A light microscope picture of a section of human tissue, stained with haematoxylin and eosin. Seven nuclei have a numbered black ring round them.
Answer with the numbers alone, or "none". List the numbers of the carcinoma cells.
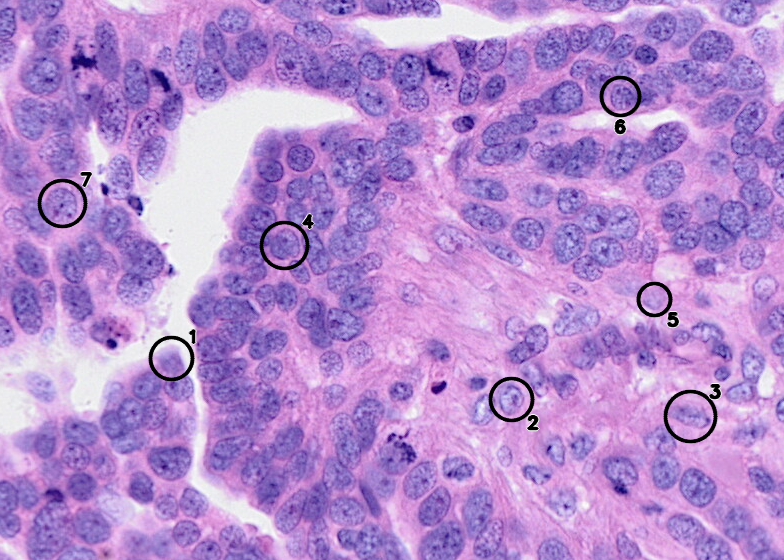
1, 4, 6, 7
